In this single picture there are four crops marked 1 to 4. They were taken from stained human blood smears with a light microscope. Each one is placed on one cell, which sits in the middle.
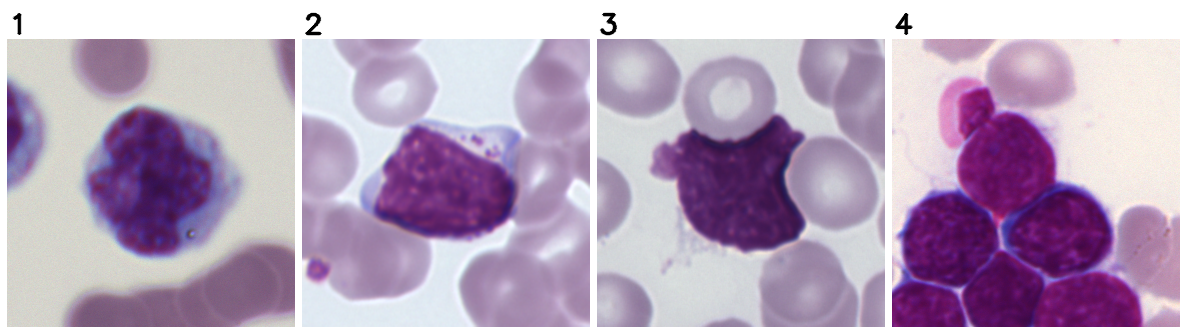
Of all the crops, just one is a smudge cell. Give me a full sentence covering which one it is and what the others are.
Crop 3 goes down as a smudge cell, while crop 1 is a monocyte, crop 2 is a large granular lymphocyte and crop 4 is a myeloblast.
